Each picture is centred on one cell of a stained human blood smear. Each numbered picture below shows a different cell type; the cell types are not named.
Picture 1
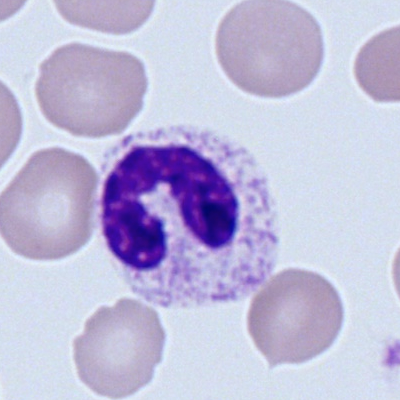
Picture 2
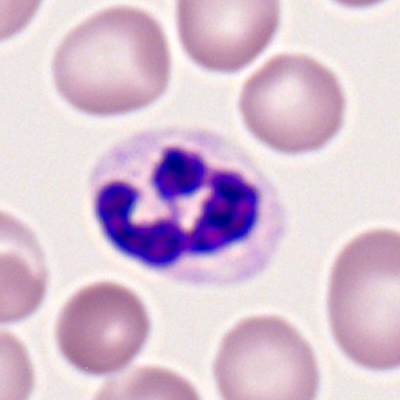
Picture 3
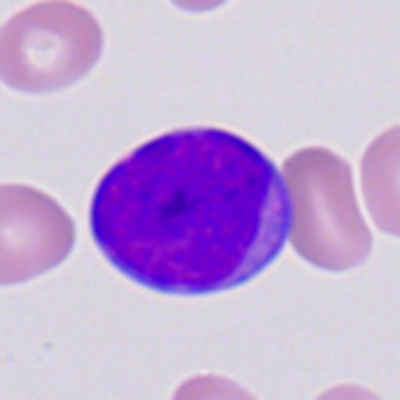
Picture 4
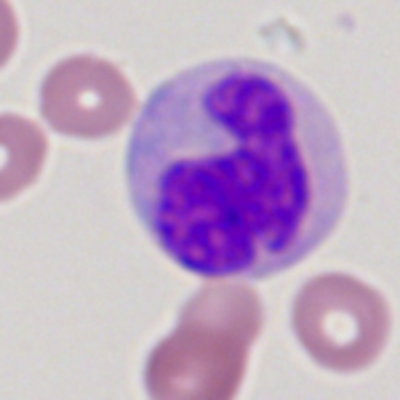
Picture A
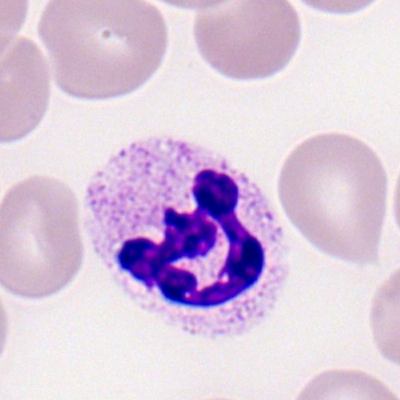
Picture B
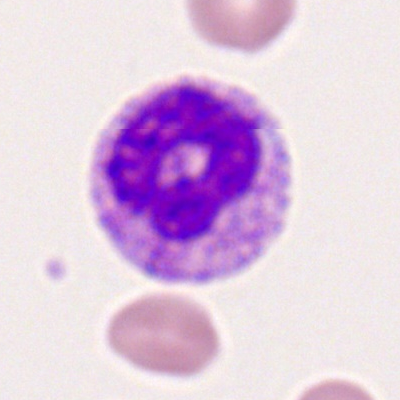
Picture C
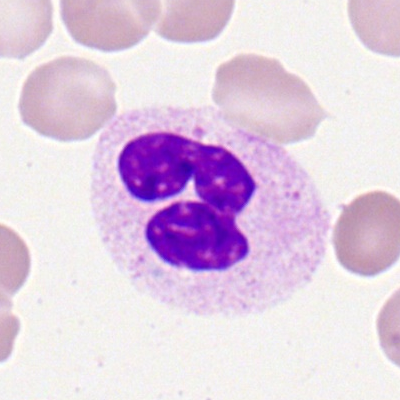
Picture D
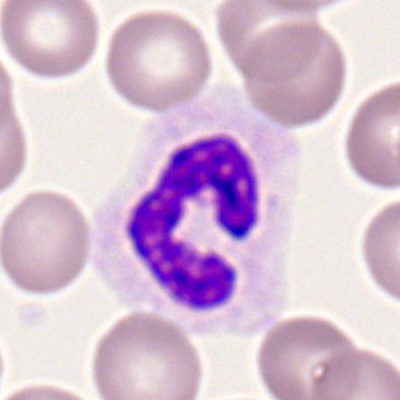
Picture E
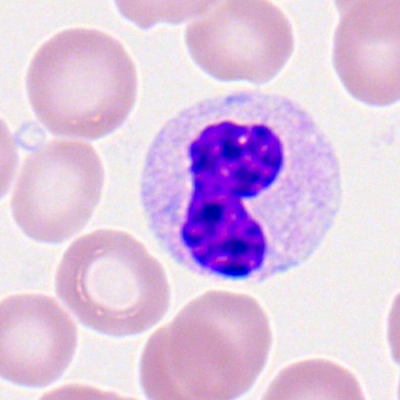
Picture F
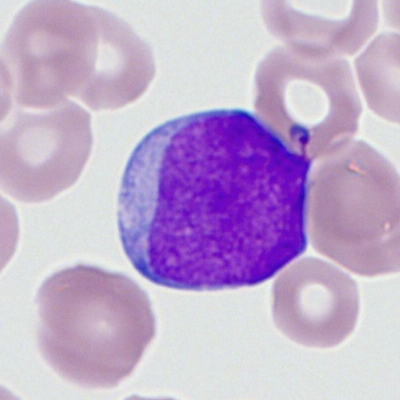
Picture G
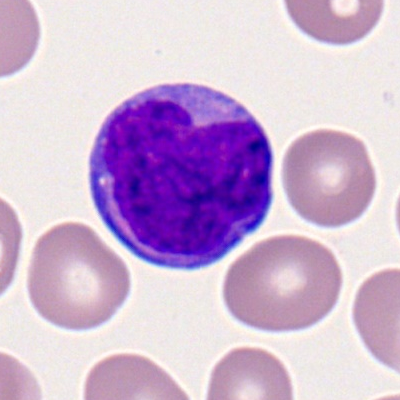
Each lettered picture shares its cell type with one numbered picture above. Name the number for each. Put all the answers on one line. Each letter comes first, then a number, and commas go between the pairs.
A 2, B 1, C 2, D 1, E 1, F 3, G 3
